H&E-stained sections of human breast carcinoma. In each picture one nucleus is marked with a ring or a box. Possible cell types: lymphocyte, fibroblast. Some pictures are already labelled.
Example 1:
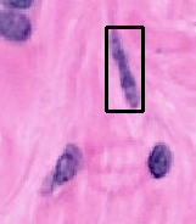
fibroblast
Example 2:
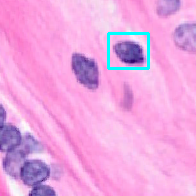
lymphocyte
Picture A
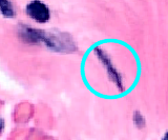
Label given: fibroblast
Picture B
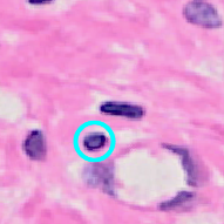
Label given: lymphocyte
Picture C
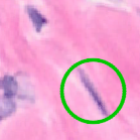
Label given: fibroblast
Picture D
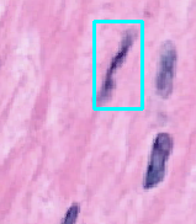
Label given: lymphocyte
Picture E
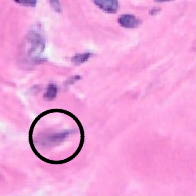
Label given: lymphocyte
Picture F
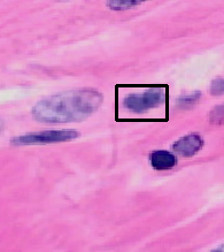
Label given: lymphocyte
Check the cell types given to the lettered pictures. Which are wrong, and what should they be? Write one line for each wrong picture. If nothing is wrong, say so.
D: change lymphocyte to fibroblast
E: change lymphocyte to fibroblast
